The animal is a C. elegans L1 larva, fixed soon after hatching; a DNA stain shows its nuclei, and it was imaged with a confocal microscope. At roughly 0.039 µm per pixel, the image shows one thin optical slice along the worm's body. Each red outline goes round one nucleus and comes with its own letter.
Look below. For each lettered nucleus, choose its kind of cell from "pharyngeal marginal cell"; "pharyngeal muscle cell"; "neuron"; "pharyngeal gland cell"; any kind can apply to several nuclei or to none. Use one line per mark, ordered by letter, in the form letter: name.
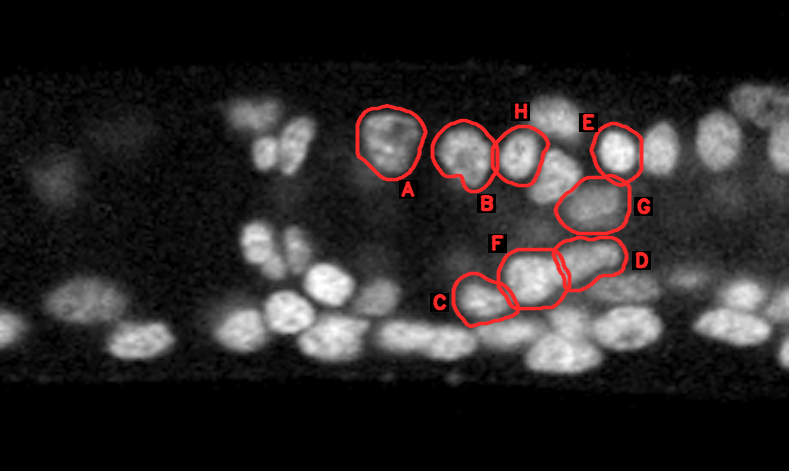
A: pharyngeal muscle cell
B: pharyngeal muscle cell
C: neuron
D: pharyngeal marginal cell
E: neuron
F: pharyngeal muscle cell
G: pharyngeal marginal cell
H: neuron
